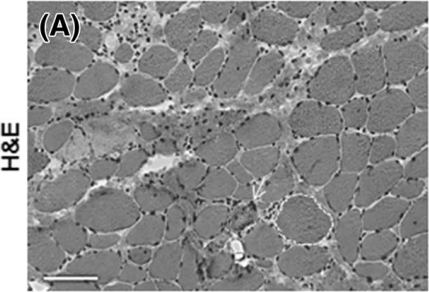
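Transverse section of skeletal muscle with rounded myofibers of markedly varied size, some large and others small. Pale connective tissue between fiber groups is widened and holds numerous small dark nuclei of infiltrating cells.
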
